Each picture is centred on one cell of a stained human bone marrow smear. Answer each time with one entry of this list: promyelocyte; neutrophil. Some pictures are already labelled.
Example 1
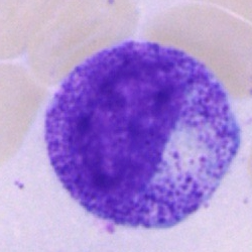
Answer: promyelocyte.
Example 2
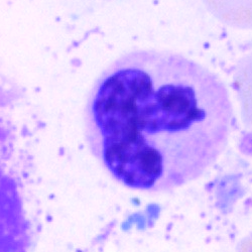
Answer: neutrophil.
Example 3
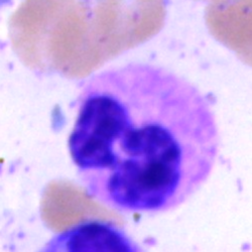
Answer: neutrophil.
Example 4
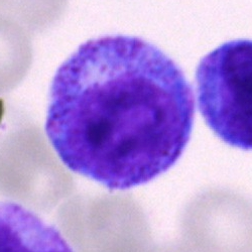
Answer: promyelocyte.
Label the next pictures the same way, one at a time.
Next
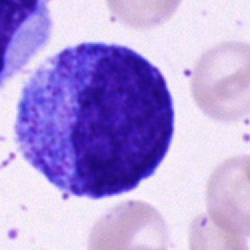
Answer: promyelocyte.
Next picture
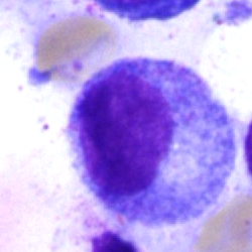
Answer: promyelocyte.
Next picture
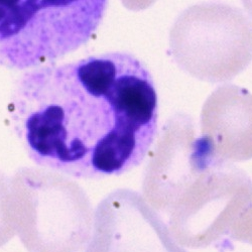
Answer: neutrophil.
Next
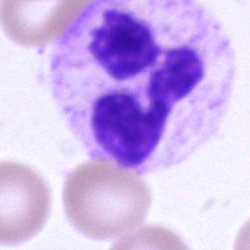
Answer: neutrophil.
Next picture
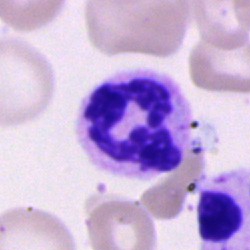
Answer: neutrophil.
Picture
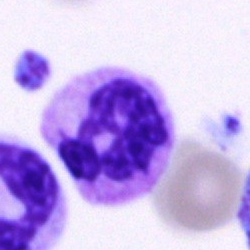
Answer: neutrophil.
